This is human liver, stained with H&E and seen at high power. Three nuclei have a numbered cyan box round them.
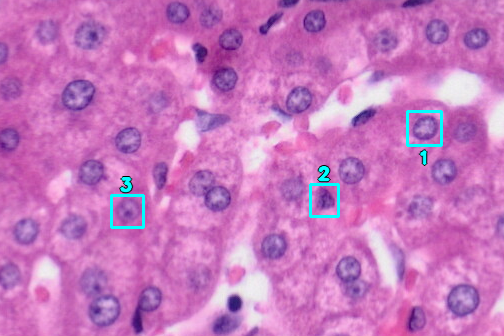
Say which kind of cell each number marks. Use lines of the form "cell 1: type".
cell 1: hepatocyte
cell 2: fibroblast or stellate cell
cell 3: hepatocyte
